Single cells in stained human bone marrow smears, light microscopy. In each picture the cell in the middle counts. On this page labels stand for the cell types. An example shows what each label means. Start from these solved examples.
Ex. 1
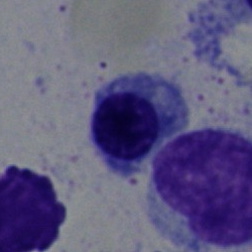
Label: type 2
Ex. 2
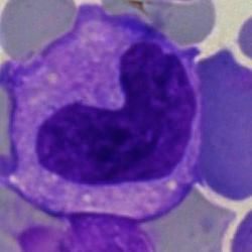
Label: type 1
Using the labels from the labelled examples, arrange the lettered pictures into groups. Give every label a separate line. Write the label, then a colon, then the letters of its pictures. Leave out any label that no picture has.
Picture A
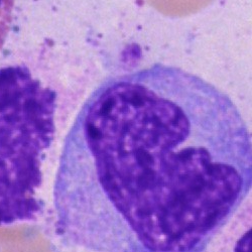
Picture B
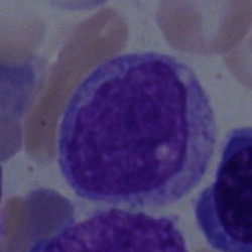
type 1: A, B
